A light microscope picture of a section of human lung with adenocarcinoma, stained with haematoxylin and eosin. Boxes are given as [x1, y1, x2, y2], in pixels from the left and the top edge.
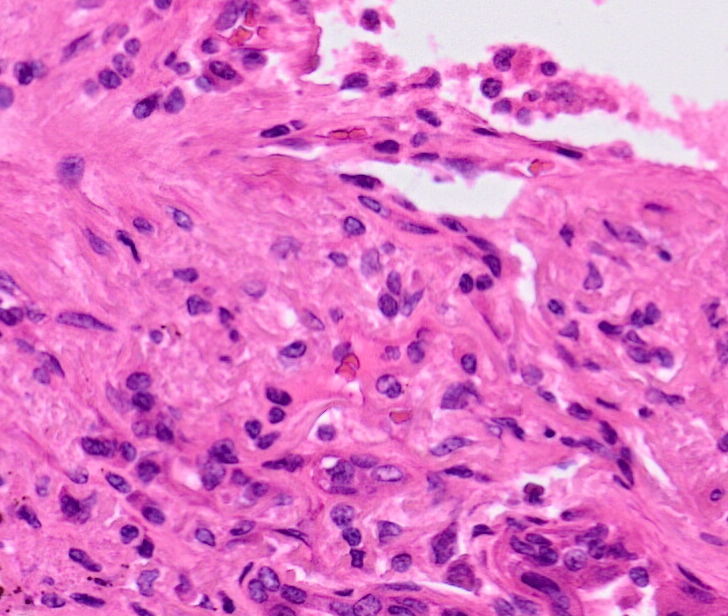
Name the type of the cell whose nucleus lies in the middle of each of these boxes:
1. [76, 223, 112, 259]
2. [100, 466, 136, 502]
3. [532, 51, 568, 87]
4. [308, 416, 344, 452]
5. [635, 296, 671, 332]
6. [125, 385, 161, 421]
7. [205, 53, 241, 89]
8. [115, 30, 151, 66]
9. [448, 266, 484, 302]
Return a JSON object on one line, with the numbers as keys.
{"1": "smooth muscle cell or pericyte", "2": "mast cell", "3": "lymphocyte", "4": "lymphocyte", "5": "lymphocyte", "6": "plasma cell", "7": "plasma cell", "8": "lymphocyte", "9": "lymphocyte"}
